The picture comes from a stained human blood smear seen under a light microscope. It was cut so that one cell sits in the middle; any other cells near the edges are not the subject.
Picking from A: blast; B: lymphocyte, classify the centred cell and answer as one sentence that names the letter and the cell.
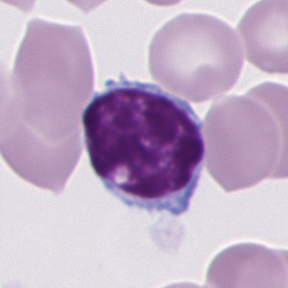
The cell placed in the middle is a lymphocyte; option B is correct.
